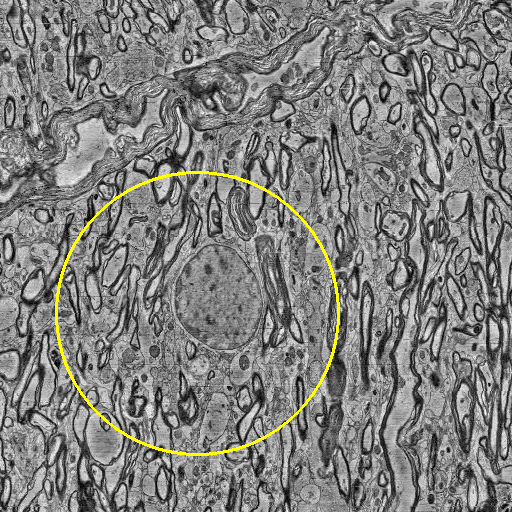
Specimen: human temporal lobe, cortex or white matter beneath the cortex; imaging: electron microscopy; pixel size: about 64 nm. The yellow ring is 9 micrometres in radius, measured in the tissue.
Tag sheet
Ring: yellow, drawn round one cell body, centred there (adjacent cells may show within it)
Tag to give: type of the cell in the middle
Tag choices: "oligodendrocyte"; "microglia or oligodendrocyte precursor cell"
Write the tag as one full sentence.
I tag the cell centred in the yellow ring as a microglial cell or oligodendrocyte precursor cell in this picture.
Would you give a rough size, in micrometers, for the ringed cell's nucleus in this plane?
The nucleus appears roughly 8 by 6 micrometres in this plane.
